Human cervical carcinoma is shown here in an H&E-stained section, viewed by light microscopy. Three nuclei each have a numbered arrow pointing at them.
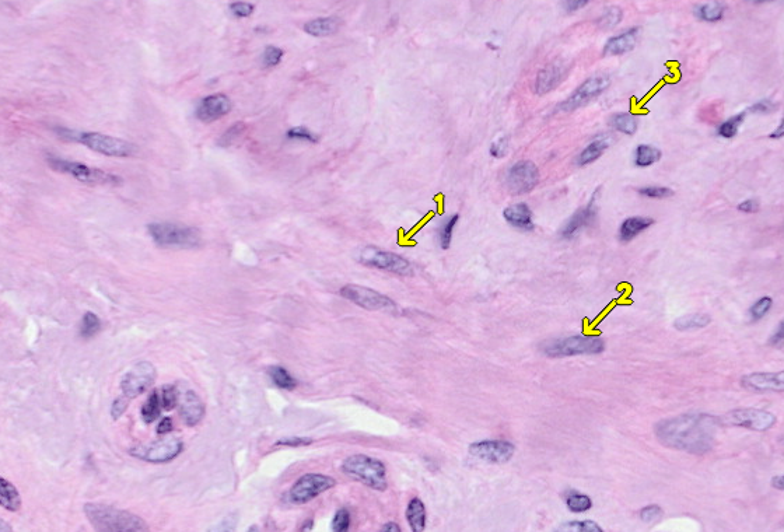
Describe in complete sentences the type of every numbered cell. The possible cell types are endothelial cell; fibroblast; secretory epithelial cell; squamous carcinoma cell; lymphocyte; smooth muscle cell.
Cells 1 and 3 are smooth muscle cells. Cell 2 is a fibroblast.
